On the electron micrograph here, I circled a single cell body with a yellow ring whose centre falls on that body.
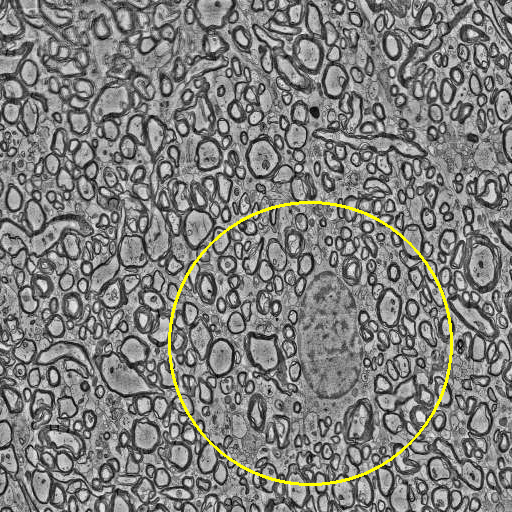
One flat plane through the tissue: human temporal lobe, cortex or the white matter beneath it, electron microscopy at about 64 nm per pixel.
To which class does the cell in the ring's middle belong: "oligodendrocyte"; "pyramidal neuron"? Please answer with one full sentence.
In this picture, the cell body circled at the ring's centre belongs to an oligodendrocyte.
